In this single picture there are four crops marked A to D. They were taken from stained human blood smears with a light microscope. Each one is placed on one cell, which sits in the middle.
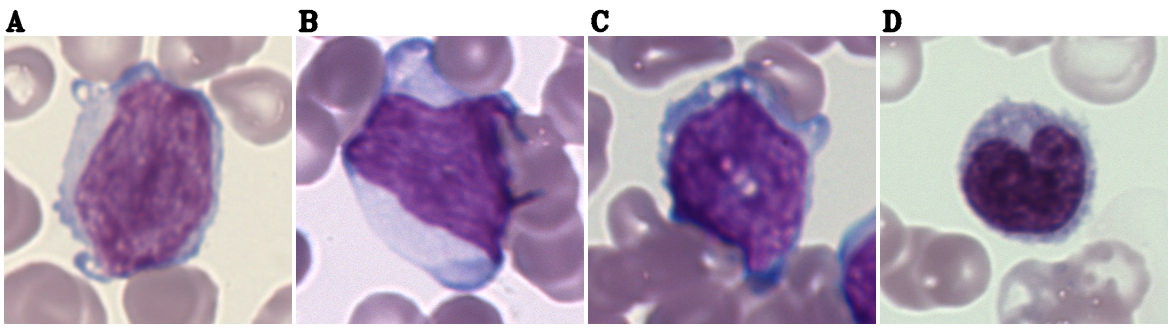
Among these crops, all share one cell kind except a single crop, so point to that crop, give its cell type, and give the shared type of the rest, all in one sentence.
Crop D differs, its cell being a monocyte, whereas the other crops show myeloblasts.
